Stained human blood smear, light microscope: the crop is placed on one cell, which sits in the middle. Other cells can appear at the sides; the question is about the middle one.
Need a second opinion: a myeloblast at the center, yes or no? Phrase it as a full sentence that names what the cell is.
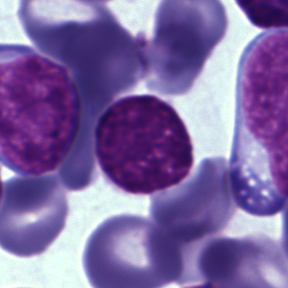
Yes, the cell in the middle is recognised as a myeloblast.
